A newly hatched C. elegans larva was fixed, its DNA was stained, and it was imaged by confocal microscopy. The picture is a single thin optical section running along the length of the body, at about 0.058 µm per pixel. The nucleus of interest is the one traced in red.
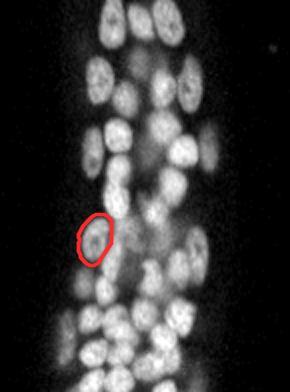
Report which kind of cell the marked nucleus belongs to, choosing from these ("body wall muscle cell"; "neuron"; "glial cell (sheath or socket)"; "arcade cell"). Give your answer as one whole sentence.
The marked nucleus is that of a body wall muscle cell.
